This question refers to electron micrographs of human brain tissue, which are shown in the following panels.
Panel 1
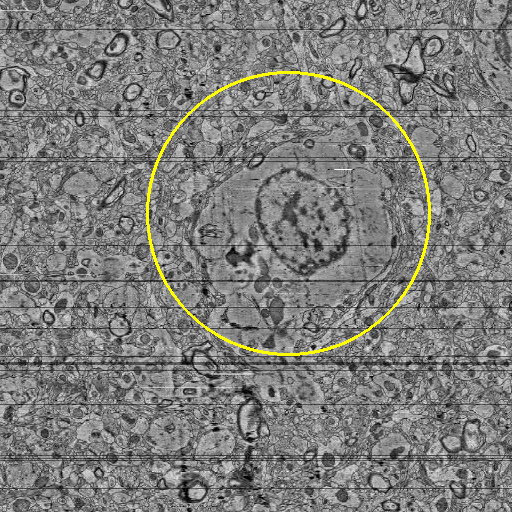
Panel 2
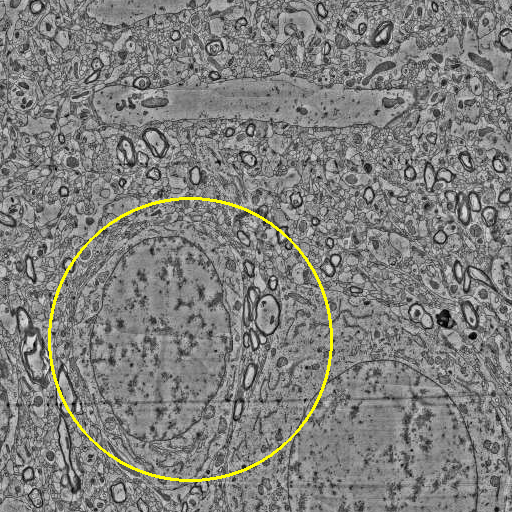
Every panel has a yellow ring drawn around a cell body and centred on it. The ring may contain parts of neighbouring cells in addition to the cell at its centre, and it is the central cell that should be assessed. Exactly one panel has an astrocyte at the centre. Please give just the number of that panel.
1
